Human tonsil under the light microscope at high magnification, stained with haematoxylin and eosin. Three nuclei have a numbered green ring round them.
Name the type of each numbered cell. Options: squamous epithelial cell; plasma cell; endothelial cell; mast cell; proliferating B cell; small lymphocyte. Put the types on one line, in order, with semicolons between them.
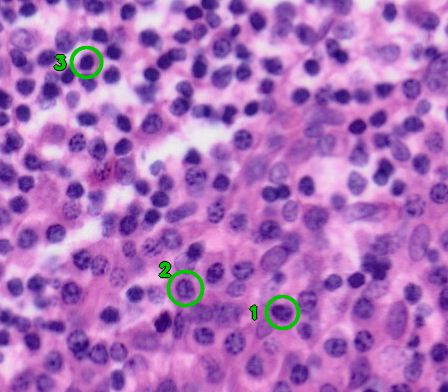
plasma cell; plasma cell; small lymphocyte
